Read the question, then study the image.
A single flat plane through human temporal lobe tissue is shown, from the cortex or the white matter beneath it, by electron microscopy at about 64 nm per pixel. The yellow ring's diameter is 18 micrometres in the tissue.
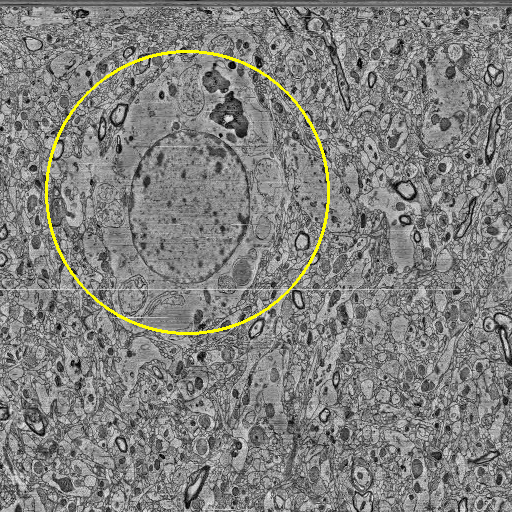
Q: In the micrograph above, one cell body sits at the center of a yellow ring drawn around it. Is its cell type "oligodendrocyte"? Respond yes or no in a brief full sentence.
No, its cell type is another one.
